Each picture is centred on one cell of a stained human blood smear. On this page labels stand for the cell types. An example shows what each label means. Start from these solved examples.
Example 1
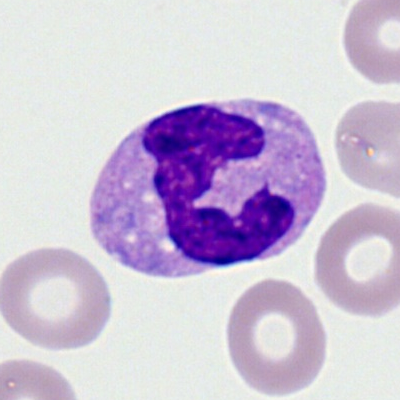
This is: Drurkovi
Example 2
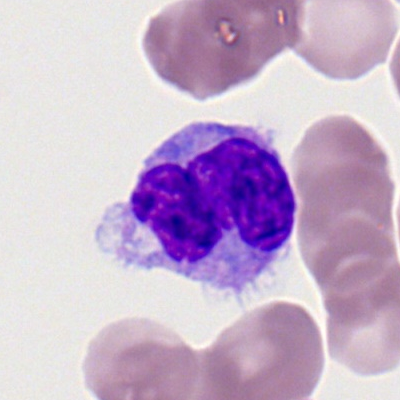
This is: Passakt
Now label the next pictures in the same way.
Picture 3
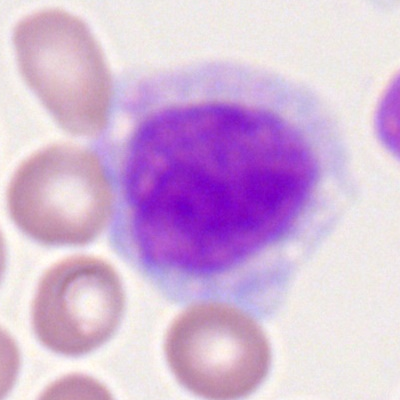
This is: Passakt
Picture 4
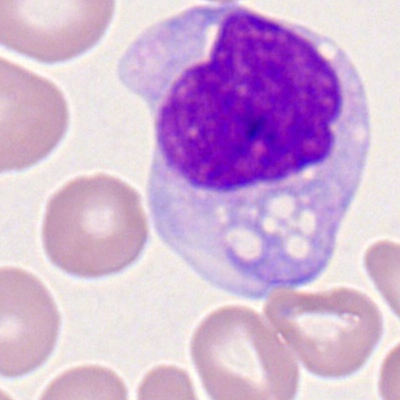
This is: Passakt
